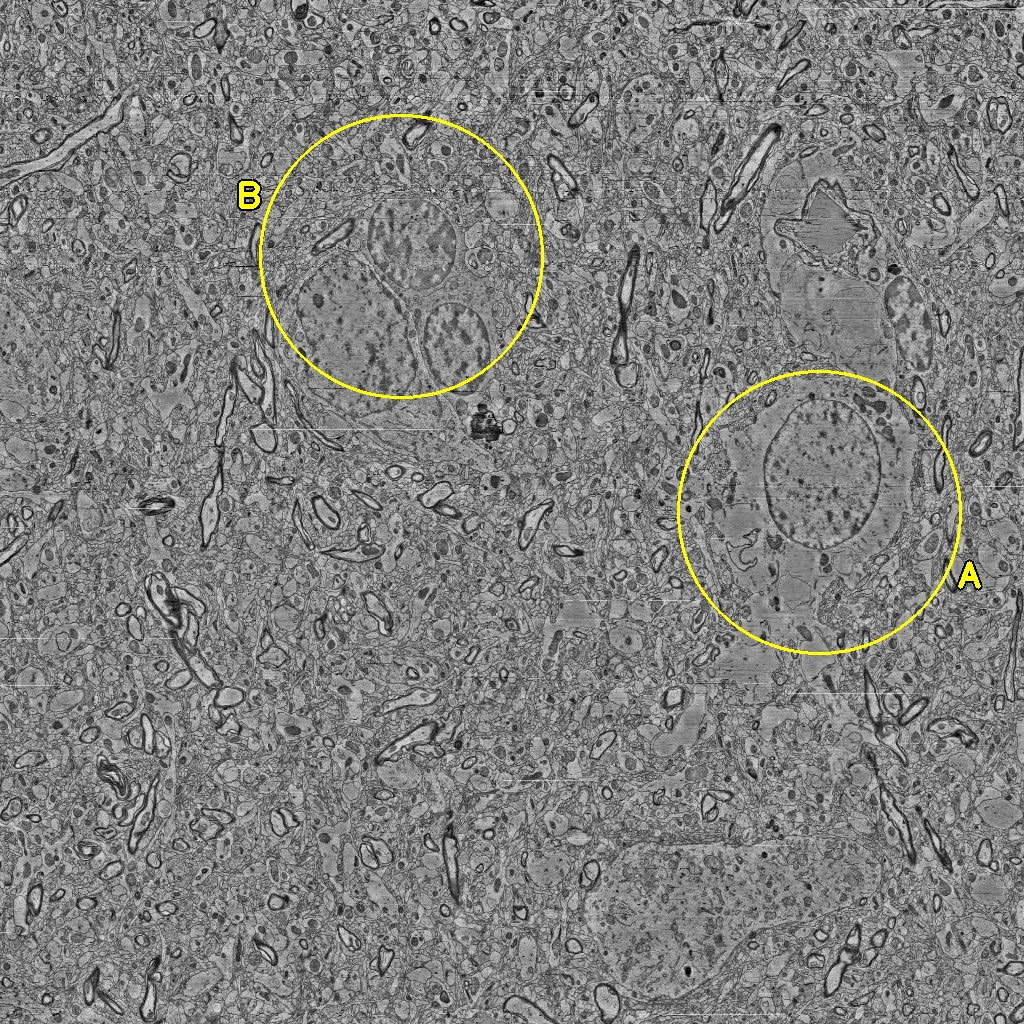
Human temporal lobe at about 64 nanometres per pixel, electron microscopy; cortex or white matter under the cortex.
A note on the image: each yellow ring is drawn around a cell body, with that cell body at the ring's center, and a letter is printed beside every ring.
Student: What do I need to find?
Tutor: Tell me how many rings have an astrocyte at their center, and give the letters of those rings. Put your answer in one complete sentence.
Only one ring, the ring lettered A, is centred on an astrocyte.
